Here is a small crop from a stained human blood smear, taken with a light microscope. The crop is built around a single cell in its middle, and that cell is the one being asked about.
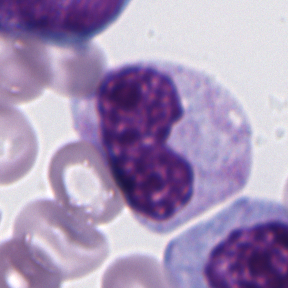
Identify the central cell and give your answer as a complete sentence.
In the centre of this crop there is a band neutrophil.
